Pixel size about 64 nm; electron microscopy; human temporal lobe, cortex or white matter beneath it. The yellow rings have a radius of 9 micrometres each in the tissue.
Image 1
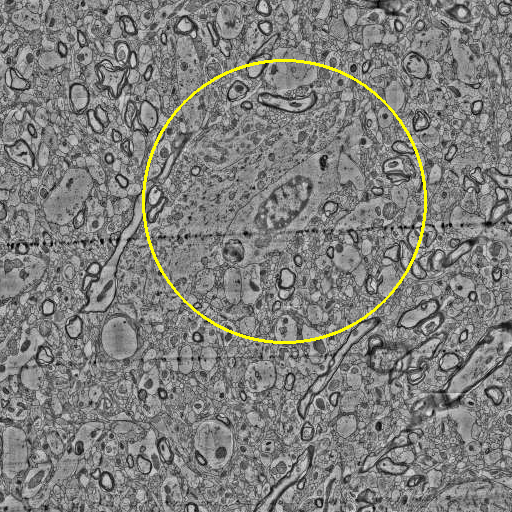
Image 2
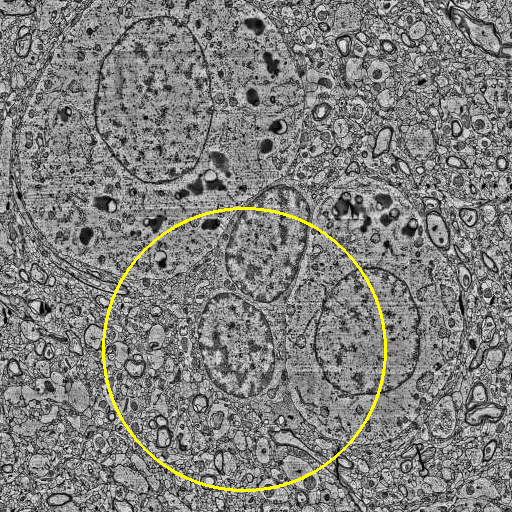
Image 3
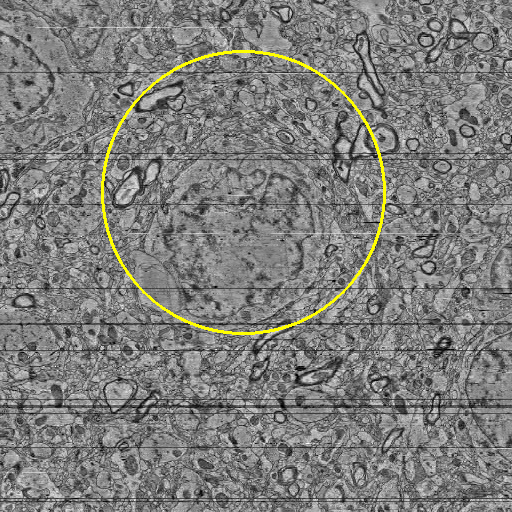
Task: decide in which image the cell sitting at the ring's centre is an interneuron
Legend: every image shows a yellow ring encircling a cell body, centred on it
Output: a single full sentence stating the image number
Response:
In image 3, the cell at the middle of the ring is the match.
